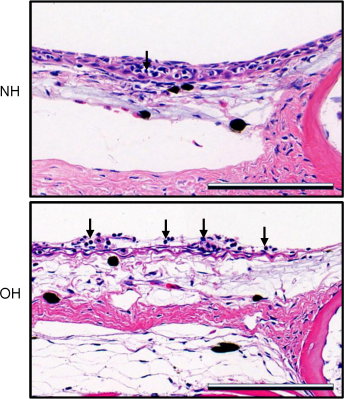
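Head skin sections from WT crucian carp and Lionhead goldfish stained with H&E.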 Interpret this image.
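Scattered through the loose tissue are elongated, spindle-shaped purple nuclei and a few round black pigment granules. In the lower section more of these small dark-nucleated cells are marked along the surface layer than in the upper section. The connective tissue in both appears loosely arranged, with wavy pink fibres and clear spaces between them.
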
